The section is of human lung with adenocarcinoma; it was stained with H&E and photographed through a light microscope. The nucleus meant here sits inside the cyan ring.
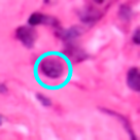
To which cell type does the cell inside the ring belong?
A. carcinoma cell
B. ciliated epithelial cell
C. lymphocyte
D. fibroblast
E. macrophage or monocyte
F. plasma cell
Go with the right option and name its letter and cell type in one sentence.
Option F holds, since the cell inside the ring is a plasma cell.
